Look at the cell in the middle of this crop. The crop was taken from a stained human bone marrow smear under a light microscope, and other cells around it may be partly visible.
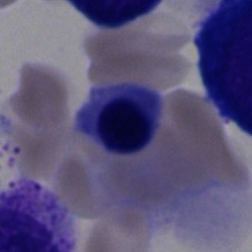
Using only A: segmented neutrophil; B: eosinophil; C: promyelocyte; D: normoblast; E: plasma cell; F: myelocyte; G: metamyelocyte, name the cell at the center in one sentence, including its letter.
This one is option D, since the cell at the center is a normoblast.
